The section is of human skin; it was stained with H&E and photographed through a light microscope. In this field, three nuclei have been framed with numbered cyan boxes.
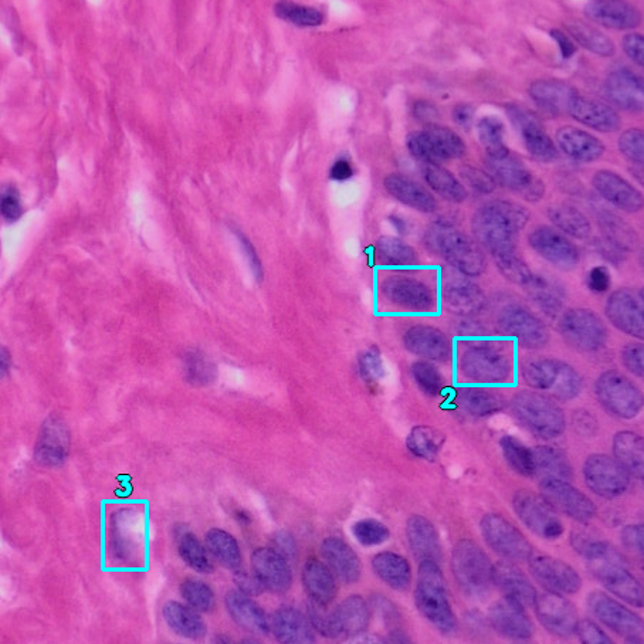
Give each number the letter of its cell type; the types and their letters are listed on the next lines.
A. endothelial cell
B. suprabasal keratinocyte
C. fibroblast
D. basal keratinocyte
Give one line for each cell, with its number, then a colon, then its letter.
1: D
2: D
3: C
